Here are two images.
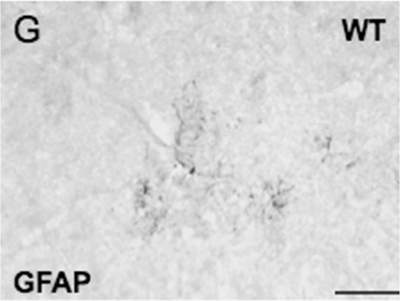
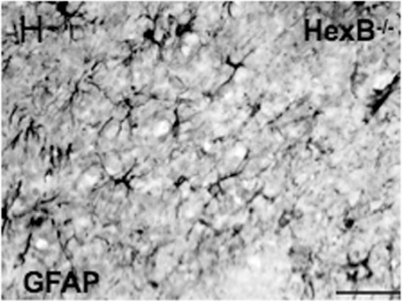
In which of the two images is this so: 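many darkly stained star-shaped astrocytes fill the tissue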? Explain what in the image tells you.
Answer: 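Second image: numerous intensely stained stellate cells with thick radiating processes across the field. First image: pale tissue with only faint, sparse staining and no dense network of stellate cells. The answer: the second image.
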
